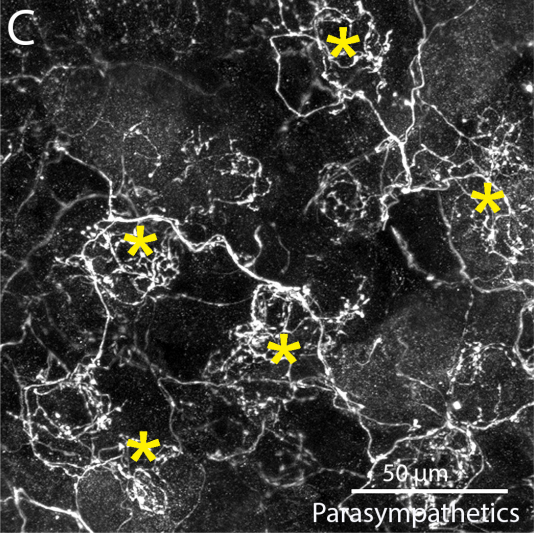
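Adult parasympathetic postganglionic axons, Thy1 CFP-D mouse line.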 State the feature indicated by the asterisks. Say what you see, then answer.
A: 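Basket-like structures. Fine bright fibers form dense tangled clusters at each marked spot. The clusters wrap around roughly round regions. Thicker fibers run between the clusters.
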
